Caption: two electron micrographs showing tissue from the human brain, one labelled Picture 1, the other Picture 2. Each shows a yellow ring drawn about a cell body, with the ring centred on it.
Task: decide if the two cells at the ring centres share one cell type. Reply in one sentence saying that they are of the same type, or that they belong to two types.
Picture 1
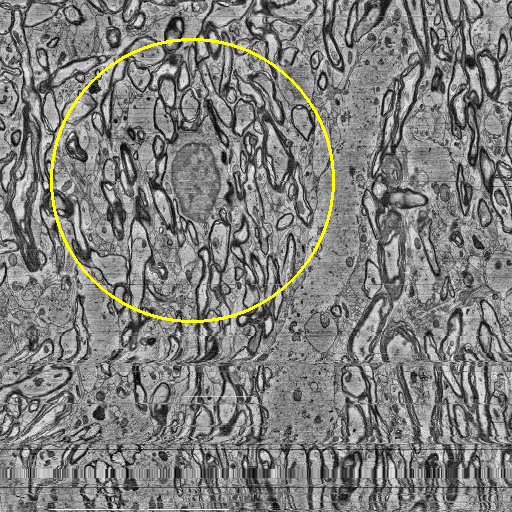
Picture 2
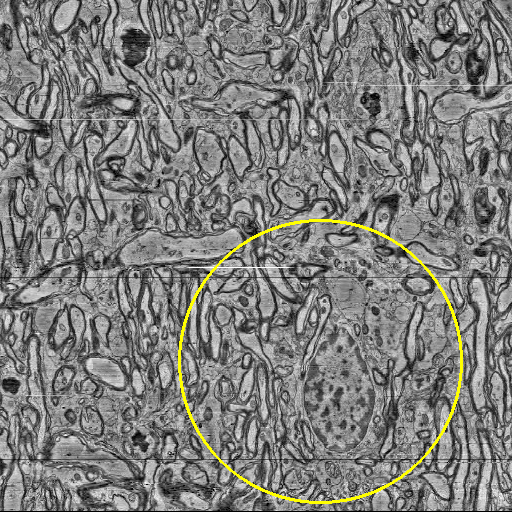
The cells at the ring centres in Picture 1 and Picture 2 belong to two types.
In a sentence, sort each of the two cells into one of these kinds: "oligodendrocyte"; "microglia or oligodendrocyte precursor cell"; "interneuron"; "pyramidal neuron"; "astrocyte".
The first of the two cells is an oligodendrocyte, and the second is a microglial cell or oligodendrocyte precursor cell.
